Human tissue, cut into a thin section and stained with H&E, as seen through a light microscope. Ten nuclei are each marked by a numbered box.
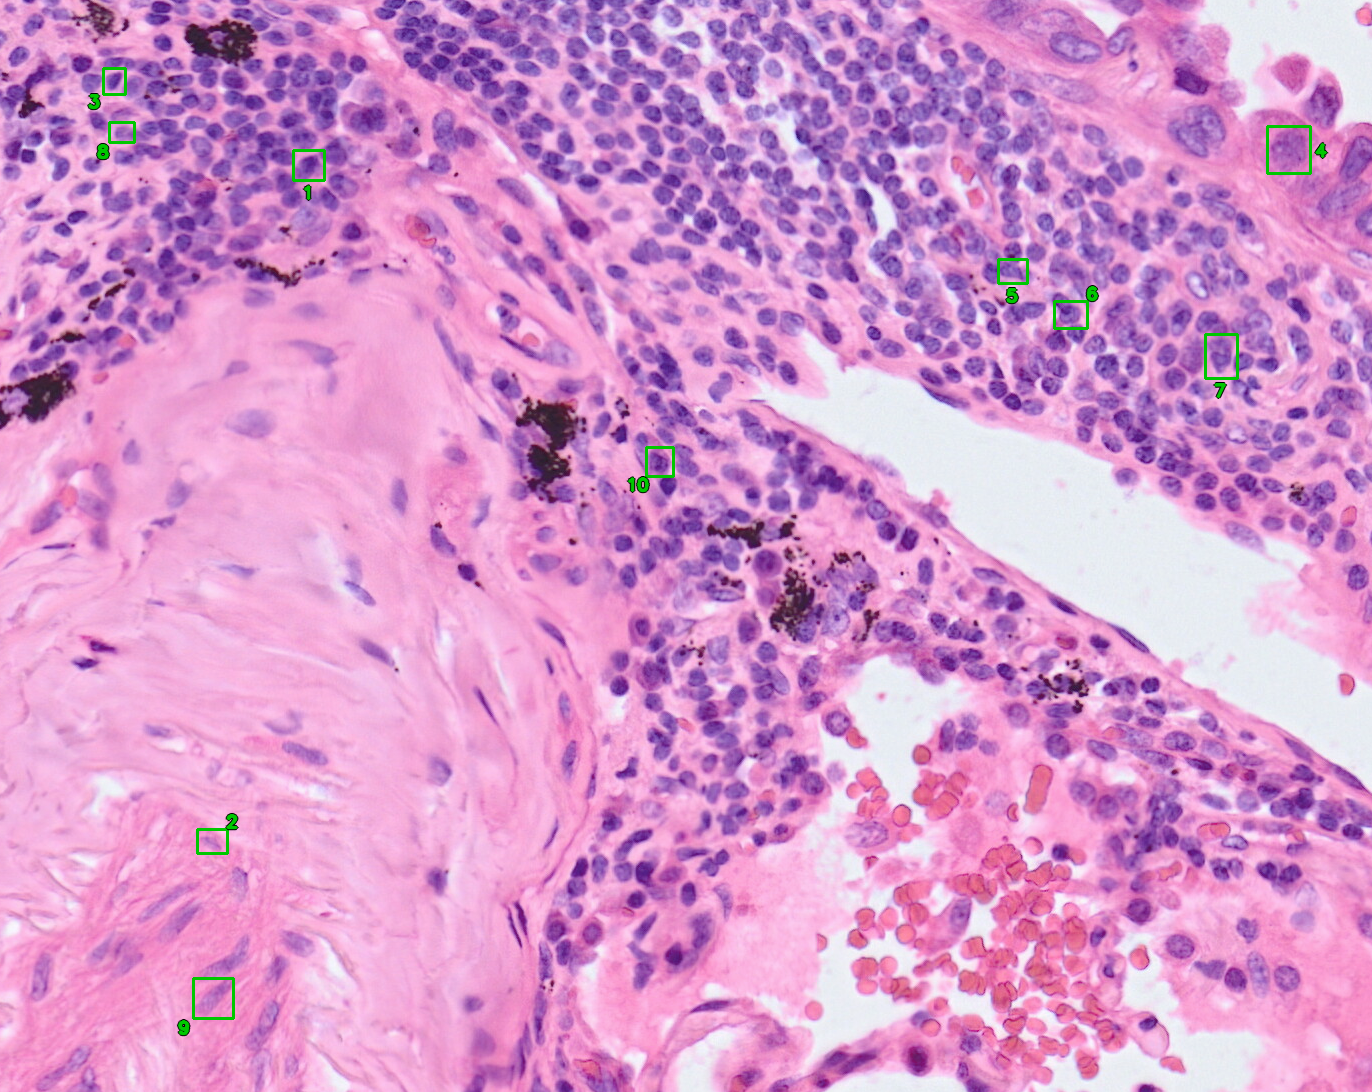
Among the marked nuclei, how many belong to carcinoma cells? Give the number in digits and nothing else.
1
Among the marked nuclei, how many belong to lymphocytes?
6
